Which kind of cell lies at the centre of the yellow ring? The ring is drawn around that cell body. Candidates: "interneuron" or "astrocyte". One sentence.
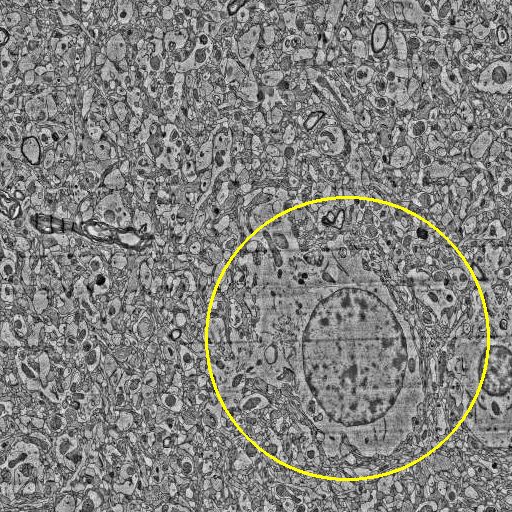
Lying at the centre of the ring is an astrocyte.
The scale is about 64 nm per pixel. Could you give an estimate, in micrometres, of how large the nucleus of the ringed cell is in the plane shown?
Approximately 9 micrometres long and 7 micrometres wide, in this plane.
